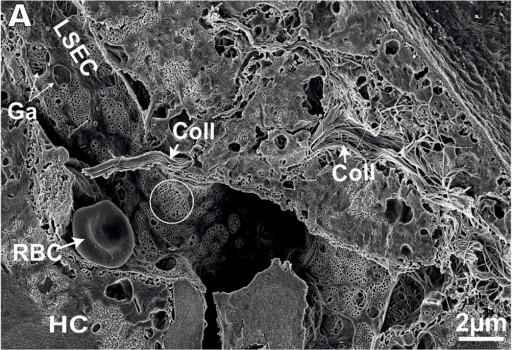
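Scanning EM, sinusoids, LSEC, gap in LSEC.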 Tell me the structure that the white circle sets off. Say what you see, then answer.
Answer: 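Inside the circle the thin cell lining is perforated by many small round holes. The holes lie grouped together in a cluster.
Hence: fenestrae arranged in sieve plates.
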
